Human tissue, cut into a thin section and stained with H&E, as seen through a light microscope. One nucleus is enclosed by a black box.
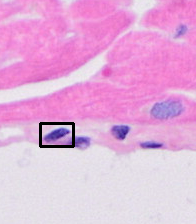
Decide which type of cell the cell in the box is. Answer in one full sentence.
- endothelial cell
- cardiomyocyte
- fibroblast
In cellular terms, the cell in the box is a fibroblast.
